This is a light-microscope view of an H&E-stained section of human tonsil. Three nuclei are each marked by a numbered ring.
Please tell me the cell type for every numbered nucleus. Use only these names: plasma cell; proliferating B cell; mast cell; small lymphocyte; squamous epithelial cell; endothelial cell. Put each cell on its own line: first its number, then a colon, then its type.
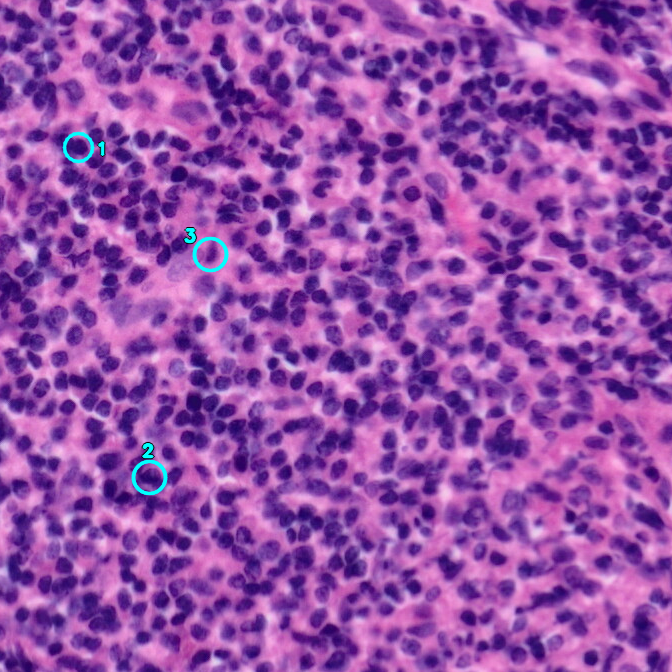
1: small lymphocyte
2: small lymphocyte
3: endothelial cell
